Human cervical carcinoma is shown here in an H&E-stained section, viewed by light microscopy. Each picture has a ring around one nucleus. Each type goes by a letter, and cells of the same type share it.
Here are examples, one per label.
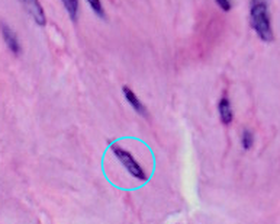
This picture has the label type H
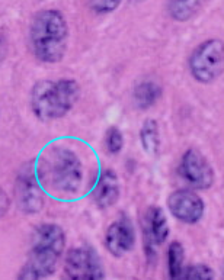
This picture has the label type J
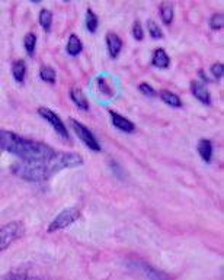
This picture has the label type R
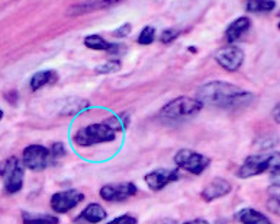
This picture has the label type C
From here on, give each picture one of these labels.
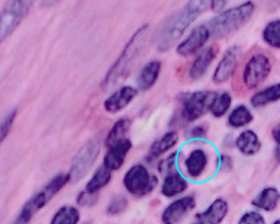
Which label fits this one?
type C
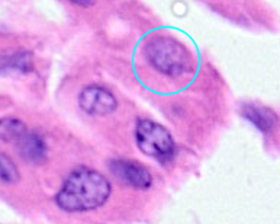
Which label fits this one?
type J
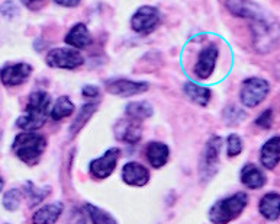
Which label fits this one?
type C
